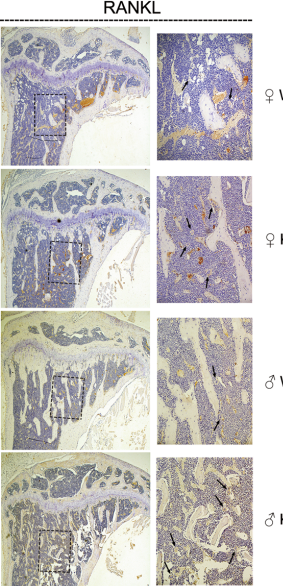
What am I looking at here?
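The spaces between the trabeculae are filled with marrow, densely packed with small blue nuclei. Patches of brown staining are also scattered in the marrow.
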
